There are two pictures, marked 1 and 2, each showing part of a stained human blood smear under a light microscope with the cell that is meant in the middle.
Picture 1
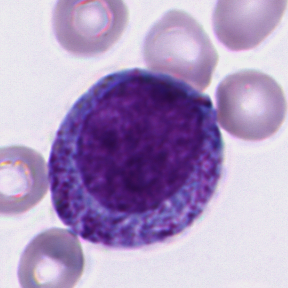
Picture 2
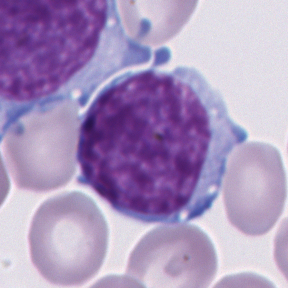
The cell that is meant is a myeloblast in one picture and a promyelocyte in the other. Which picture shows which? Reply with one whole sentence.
Picture 1 shows a promyelocyte and picture 2 shows a myeloblast.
